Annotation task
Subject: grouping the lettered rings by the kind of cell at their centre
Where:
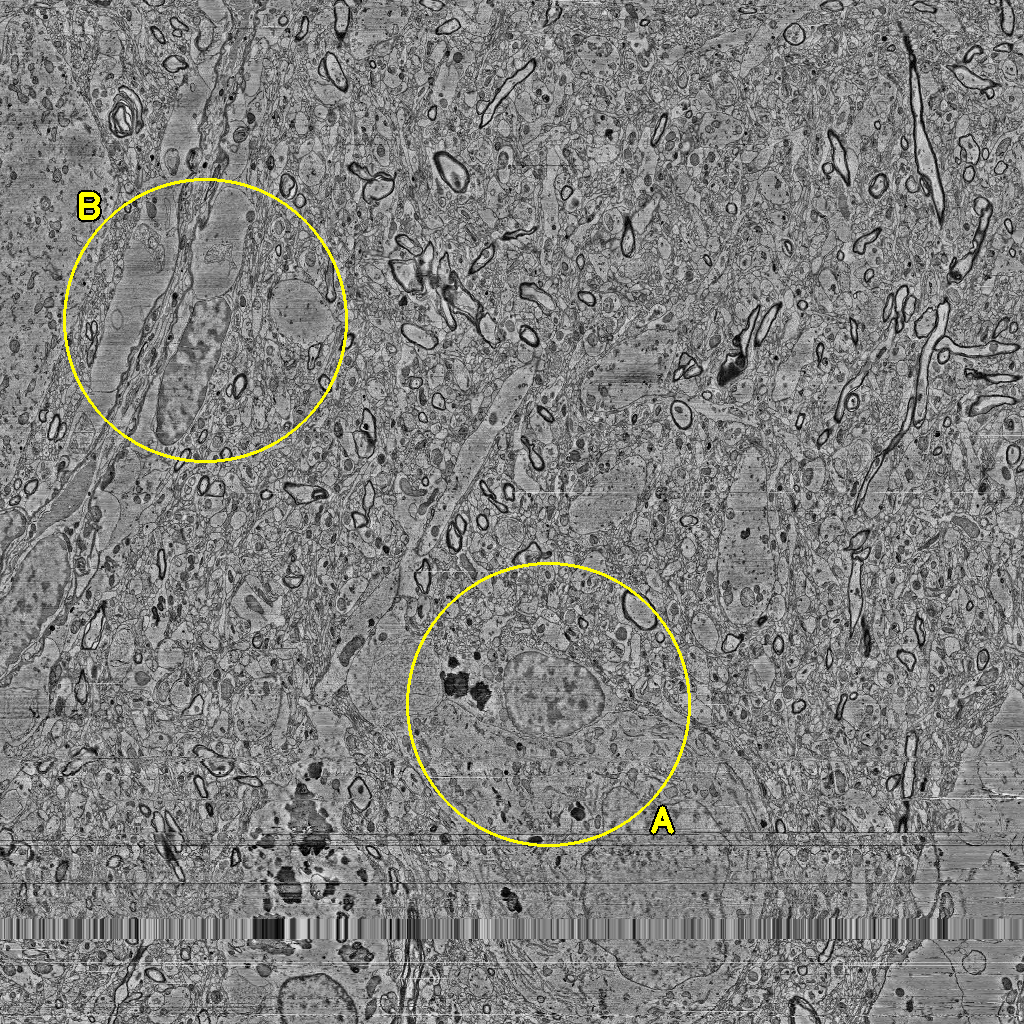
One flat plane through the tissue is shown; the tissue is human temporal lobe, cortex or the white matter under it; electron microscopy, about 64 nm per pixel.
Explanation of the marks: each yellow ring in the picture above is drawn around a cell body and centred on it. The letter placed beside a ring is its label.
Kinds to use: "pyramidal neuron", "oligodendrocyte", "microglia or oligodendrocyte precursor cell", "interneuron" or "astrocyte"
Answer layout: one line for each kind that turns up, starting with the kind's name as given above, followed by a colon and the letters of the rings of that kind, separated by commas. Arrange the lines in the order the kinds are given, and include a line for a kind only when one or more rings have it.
oligodendrocyte: A
microglia or oligodendrocyte precursor cell: B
